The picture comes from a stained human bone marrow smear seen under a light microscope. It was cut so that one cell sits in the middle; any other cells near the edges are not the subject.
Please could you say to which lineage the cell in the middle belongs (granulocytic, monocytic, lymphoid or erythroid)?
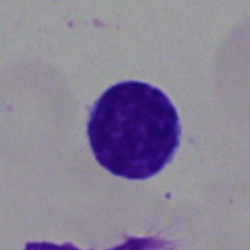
lymphoid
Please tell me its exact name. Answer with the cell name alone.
lymphocyte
